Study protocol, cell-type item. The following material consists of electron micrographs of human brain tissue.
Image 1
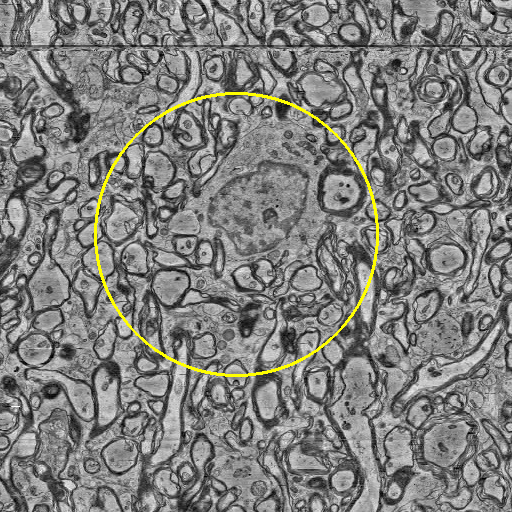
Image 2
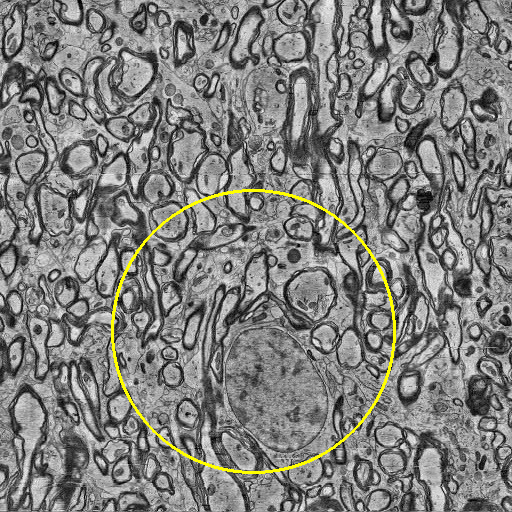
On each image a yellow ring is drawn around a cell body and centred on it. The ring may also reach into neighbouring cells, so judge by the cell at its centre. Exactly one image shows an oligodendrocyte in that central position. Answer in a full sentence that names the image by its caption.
The cell at the centre of the ring in Image 1 is of that kind.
